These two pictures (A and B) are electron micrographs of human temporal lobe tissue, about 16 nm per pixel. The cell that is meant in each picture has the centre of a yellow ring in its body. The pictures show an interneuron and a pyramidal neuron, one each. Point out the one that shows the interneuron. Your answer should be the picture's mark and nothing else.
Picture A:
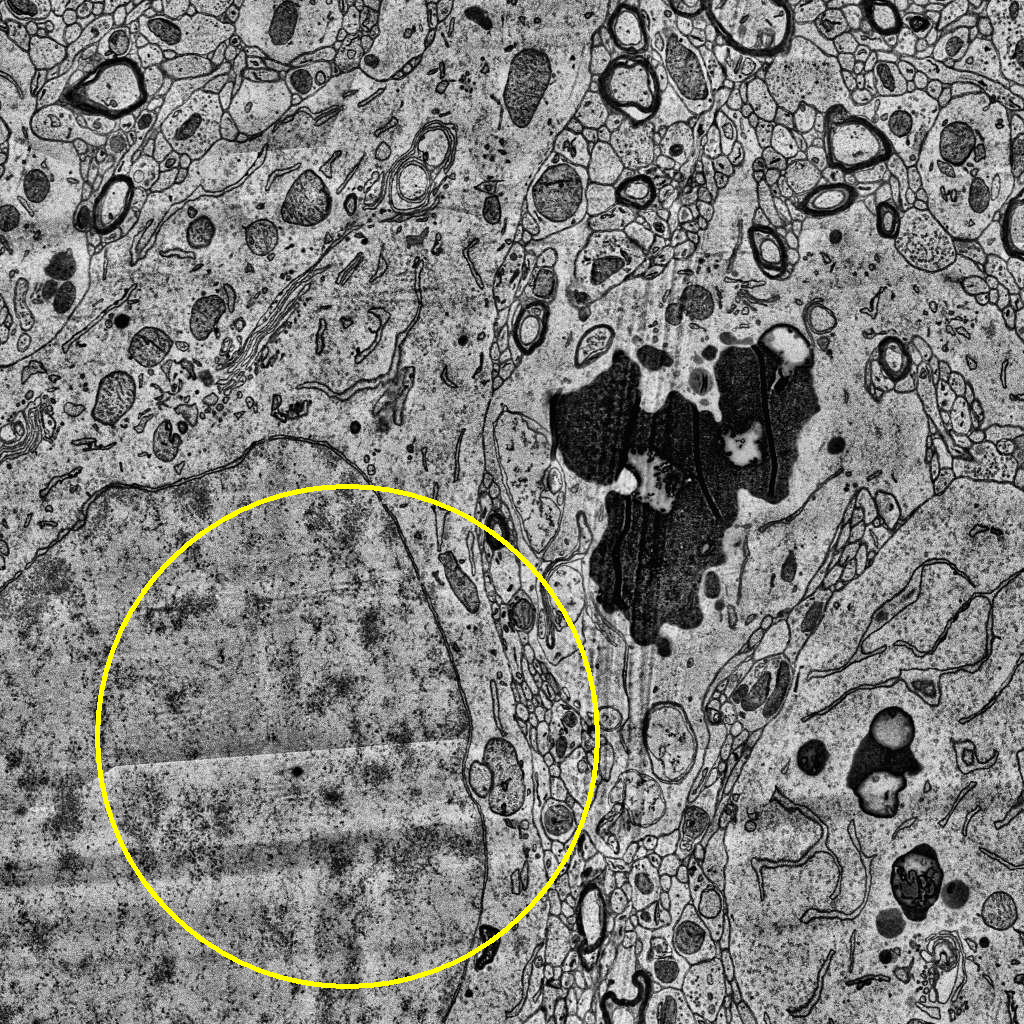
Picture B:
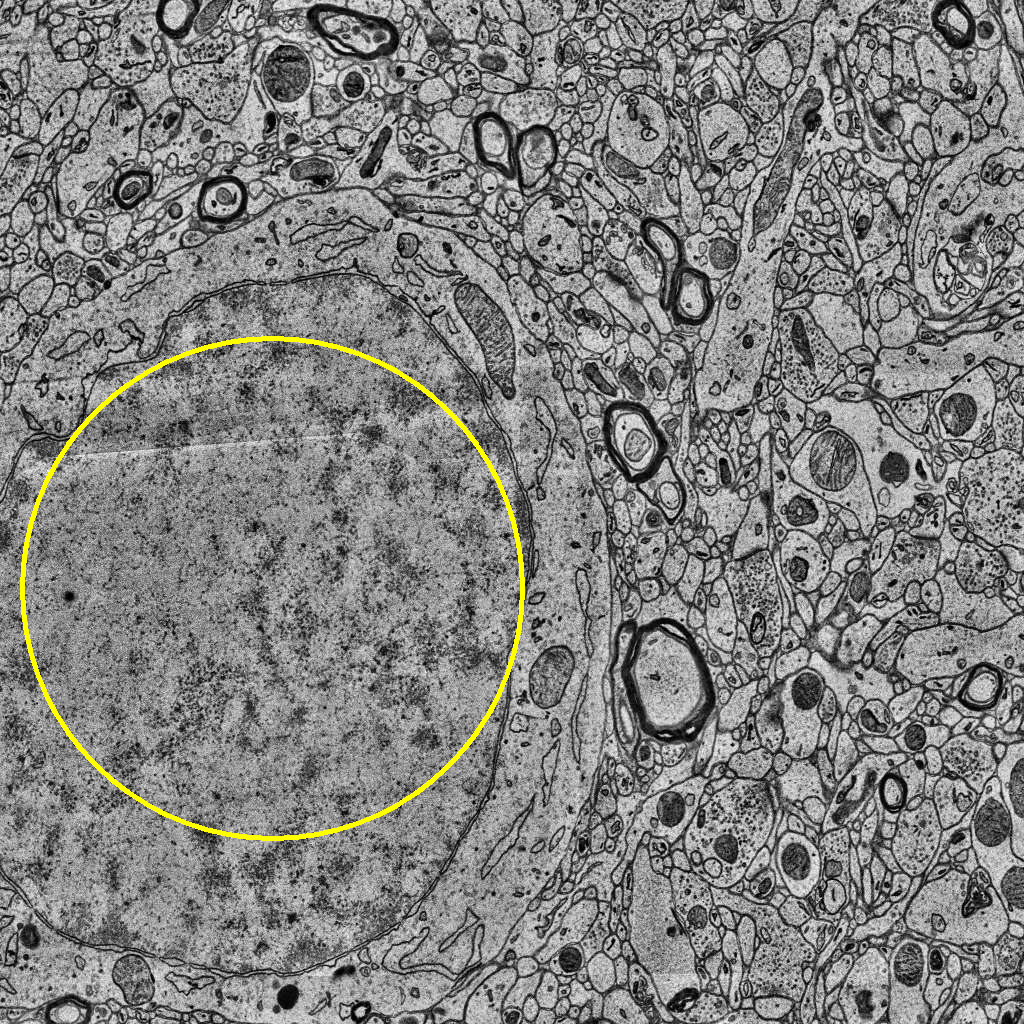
B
